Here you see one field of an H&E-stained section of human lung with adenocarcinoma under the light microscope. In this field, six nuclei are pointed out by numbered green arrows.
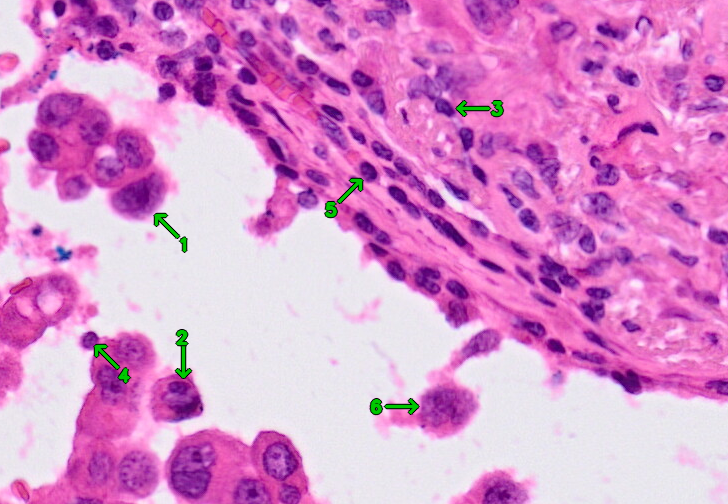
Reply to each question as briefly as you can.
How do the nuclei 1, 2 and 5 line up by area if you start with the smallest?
5, 2, 1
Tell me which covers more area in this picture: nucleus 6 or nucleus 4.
6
